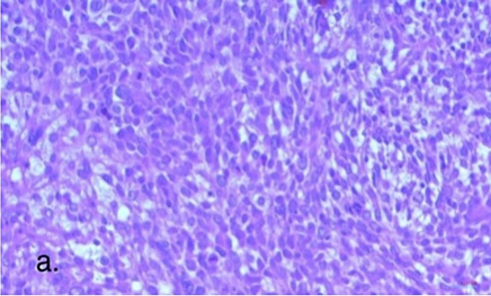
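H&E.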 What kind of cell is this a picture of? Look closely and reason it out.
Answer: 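Cells are crowded together with little space between them. Many nuclei are elongated to oval. Nuclei are dark and vary in size. On this evidence: spindle cells.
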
